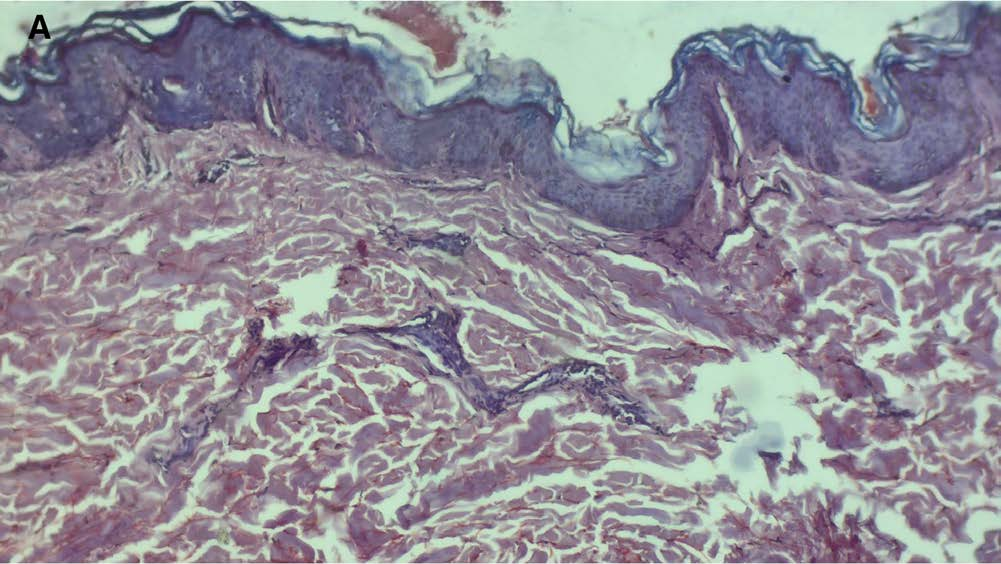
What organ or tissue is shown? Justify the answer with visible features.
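Epidermis. A stratified layer of closely packed cells runs along the top edge. Thin wavy layers of keratin lie on its surface. Loose bundles of fibrous connective tissue lie beneath it.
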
